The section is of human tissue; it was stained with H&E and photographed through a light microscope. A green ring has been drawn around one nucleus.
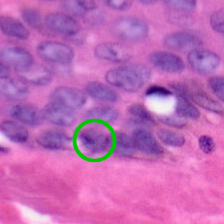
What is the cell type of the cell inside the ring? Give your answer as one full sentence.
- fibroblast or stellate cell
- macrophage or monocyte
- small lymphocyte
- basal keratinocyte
The expected answer is simply that the cell inside the ring is a basal keratinocyte.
